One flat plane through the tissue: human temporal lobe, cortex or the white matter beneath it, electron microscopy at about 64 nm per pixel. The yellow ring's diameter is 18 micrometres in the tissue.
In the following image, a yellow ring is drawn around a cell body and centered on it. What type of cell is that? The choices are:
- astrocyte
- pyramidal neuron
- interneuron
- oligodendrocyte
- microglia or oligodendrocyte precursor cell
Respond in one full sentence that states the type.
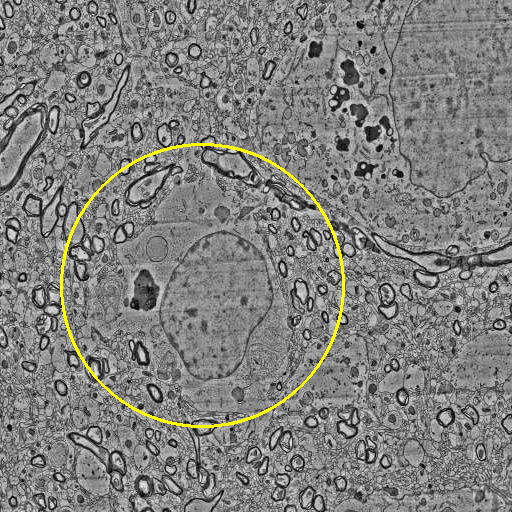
The cell at the center of the yellow ring in the image is an astrocyte.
